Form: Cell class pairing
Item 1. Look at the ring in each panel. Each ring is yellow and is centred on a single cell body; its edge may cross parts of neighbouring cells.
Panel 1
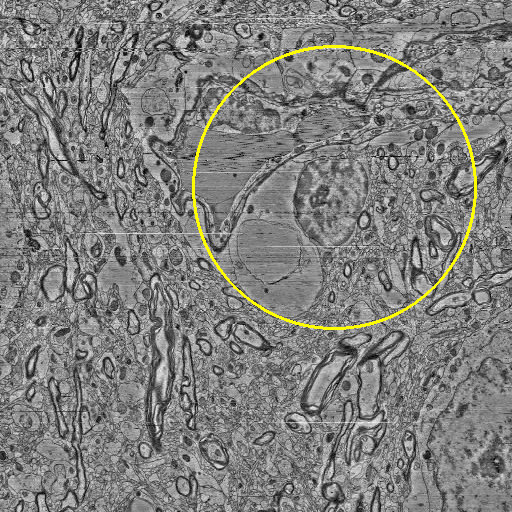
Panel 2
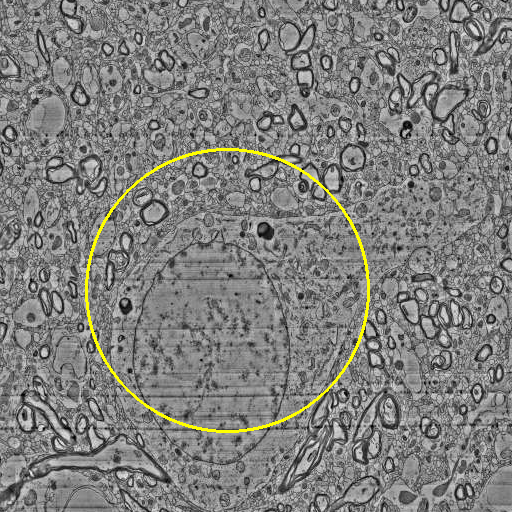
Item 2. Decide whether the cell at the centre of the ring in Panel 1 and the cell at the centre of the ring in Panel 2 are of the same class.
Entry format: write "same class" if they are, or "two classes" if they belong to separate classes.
two classes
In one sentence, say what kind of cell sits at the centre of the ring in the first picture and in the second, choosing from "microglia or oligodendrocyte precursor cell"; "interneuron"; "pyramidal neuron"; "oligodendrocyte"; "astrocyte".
The first picture's ringed cell is an oligodendrocyte, while the second picture's is a pyramidal neuron.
